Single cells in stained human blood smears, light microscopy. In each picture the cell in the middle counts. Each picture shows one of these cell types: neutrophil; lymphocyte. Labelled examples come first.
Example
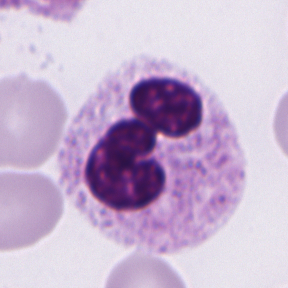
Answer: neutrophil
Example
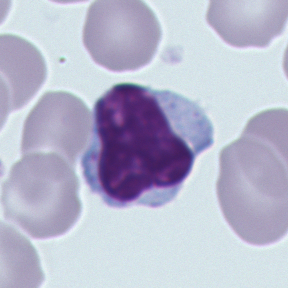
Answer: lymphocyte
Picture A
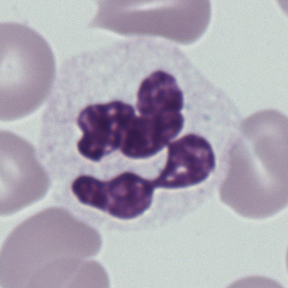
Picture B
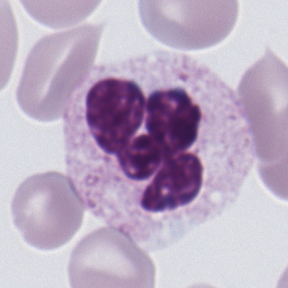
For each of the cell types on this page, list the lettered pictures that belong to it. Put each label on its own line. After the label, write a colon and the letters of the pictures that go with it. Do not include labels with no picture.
neutrophil: A, B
